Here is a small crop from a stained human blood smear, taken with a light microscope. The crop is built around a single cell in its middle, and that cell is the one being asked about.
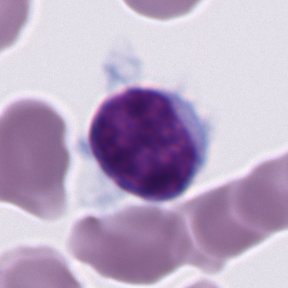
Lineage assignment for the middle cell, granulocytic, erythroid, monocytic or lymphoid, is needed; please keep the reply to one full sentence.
The cell sitting in the middle of this crop is of the lymphoid line.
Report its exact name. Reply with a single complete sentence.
The crop's centre is taken up by a hairy cell.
